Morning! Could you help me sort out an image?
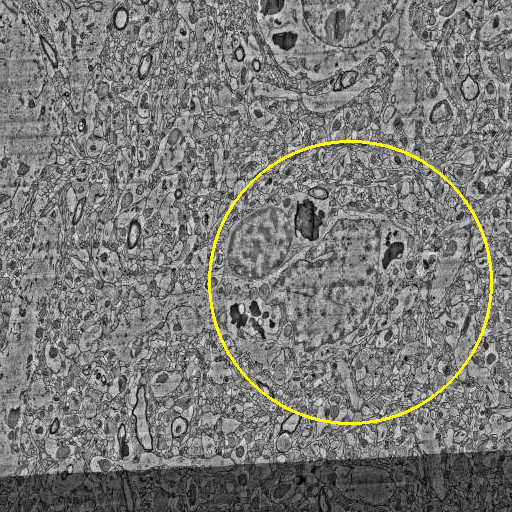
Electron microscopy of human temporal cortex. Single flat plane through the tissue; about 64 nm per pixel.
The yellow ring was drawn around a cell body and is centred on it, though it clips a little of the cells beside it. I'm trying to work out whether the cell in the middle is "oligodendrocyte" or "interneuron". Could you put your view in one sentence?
The ringed cell body is that of an interneuron.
